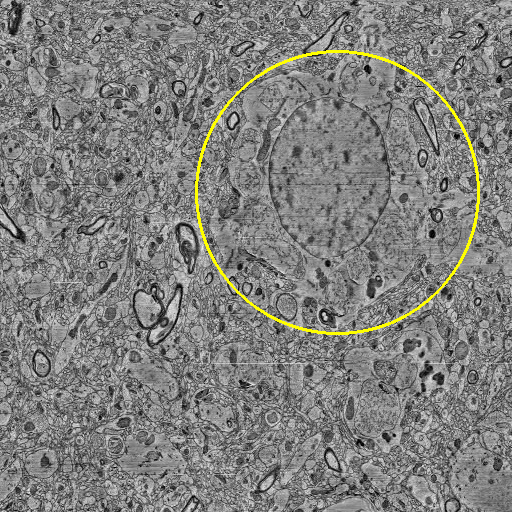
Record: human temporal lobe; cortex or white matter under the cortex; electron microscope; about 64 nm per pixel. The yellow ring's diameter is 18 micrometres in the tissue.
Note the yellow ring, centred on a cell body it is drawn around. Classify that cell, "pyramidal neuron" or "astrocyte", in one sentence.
The cell the ring is centred on is an astrocyte.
